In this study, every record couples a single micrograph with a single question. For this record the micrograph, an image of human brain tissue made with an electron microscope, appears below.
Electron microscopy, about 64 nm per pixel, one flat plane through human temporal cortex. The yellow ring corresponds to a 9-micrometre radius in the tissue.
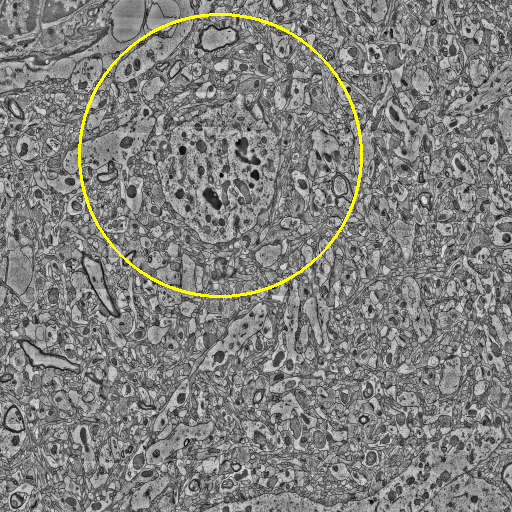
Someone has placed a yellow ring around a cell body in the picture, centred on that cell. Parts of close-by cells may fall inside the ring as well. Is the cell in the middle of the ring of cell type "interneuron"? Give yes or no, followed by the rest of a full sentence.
Yes, the cell centred in the ring shown in the picture does have that cell type.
